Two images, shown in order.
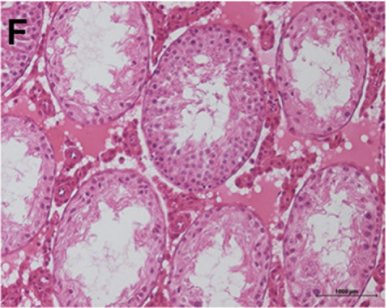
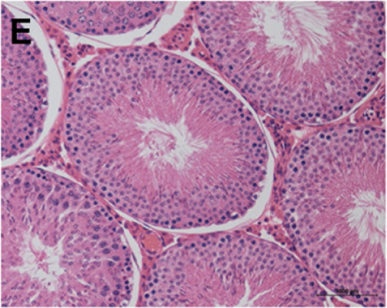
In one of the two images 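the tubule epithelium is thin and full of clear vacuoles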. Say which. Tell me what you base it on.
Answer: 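First image: tubules have thin walls with few nuclear layers and many clear spaces, lumens wide and pale. Second image: tubules have a thick, densely nucleated multilayered epithelium without clear vacuoles. On this evidence: the first image.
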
